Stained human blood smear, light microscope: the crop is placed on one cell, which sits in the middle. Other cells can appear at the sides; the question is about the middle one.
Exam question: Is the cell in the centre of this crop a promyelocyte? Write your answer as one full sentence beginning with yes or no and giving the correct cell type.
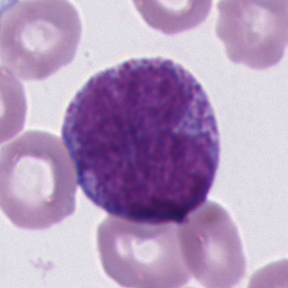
Yes, the middle cell is classified as a promyelocyte.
